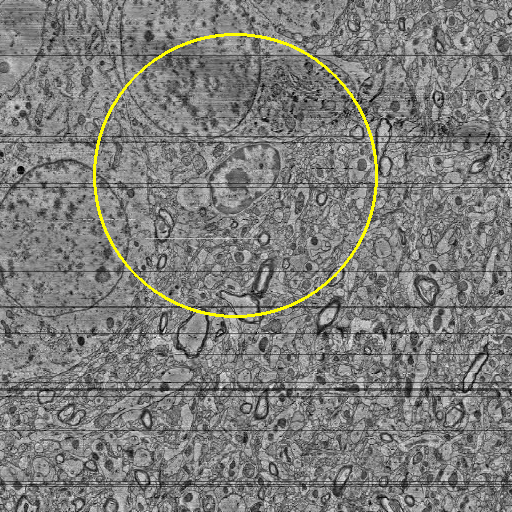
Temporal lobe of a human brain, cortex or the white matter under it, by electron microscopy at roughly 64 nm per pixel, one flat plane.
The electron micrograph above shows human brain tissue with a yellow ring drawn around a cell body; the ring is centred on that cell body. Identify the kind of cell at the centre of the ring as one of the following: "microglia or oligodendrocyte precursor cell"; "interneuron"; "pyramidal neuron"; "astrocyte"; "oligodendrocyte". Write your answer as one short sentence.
The cell at the centre of the ring is a microglial cell or oligodendrocyte precursor cell.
